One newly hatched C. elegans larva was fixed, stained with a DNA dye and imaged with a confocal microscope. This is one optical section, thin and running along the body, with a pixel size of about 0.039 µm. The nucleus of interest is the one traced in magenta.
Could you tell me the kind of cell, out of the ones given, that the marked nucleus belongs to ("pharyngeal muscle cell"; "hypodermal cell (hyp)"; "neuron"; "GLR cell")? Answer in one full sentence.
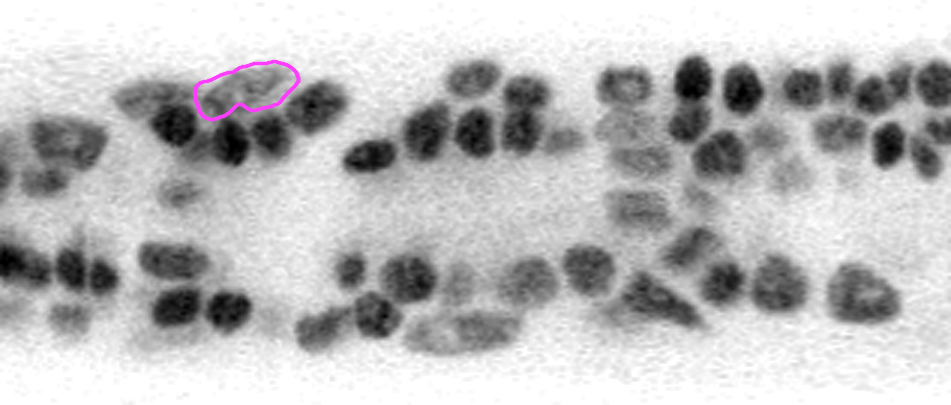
The marked nucleus is that of a hypodermal cell (hyp).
